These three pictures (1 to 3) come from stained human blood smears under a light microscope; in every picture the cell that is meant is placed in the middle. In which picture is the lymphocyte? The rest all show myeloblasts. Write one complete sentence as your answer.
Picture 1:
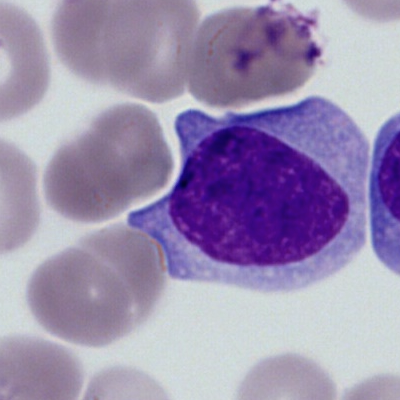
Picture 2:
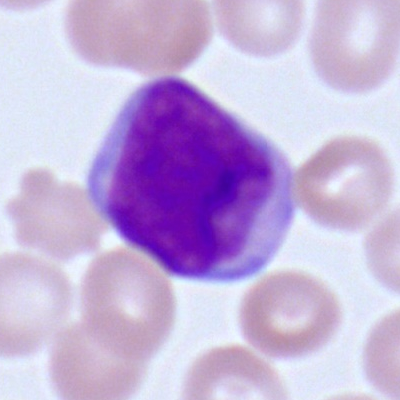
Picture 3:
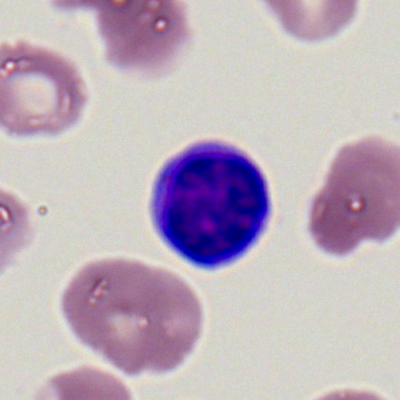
The cell in picture 3 is the lymphocyte.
